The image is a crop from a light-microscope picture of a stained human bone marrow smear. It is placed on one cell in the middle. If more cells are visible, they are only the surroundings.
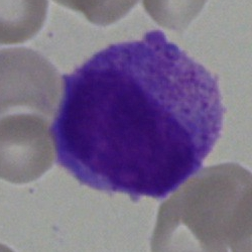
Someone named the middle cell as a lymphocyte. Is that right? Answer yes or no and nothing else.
no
